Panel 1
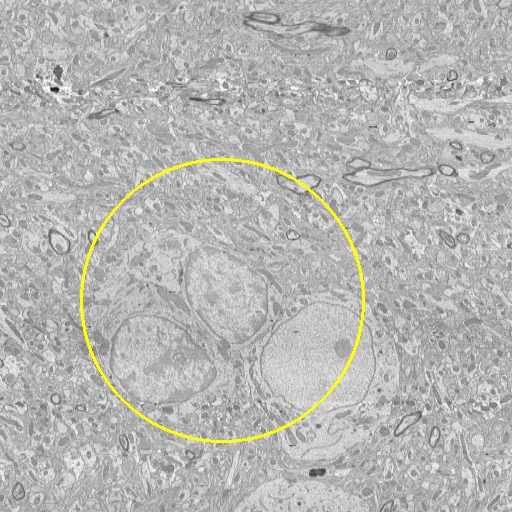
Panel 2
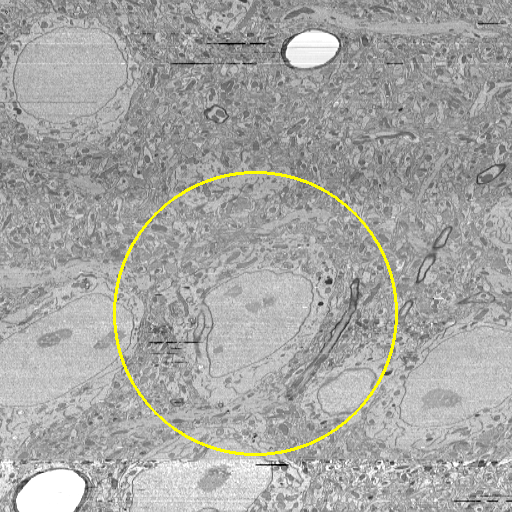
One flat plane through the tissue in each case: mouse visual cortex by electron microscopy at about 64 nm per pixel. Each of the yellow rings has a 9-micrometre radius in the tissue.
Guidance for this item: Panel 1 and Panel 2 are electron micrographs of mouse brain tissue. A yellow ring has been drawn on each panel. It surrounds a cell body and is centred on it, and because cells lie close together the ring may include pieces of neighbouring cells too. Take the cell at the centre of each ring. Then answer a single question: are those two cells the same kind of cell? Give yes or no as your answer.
no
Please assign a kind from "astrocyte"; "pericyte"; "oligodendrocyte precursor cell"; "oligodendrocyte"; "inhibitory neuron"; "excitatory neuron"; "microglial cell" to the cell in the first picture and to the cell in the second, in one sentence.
In the first picture we have an oligodendrocyte, and in the second, an excitatory neuron.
